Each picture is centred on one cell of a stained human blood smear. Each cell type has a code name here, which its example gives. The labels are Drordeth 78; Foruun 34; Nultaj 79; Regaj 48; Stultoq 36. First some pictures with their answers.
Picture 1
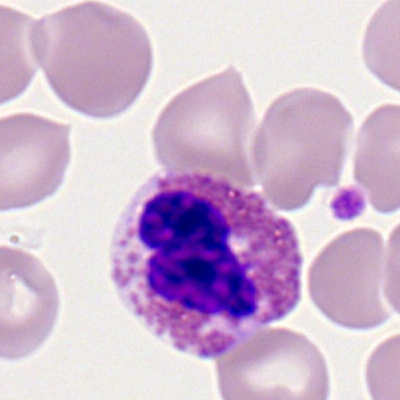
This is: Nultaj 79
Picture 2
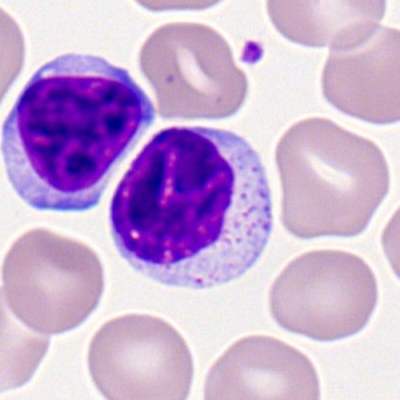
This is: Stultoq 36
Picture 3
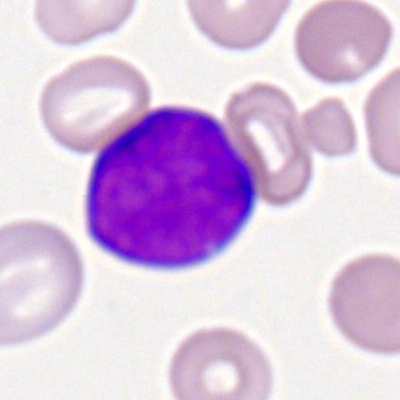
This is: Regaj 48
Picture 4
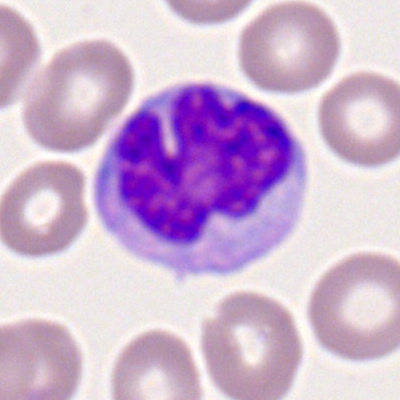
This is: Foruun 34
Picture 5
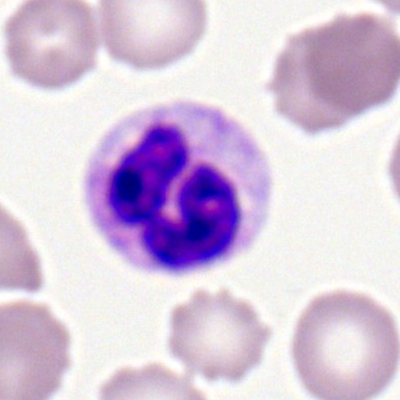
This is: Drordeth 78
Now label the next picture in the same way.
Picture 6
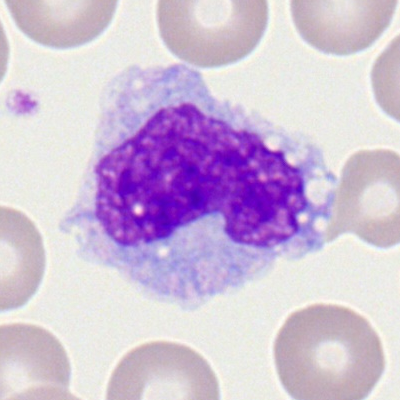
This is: Foruun 34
